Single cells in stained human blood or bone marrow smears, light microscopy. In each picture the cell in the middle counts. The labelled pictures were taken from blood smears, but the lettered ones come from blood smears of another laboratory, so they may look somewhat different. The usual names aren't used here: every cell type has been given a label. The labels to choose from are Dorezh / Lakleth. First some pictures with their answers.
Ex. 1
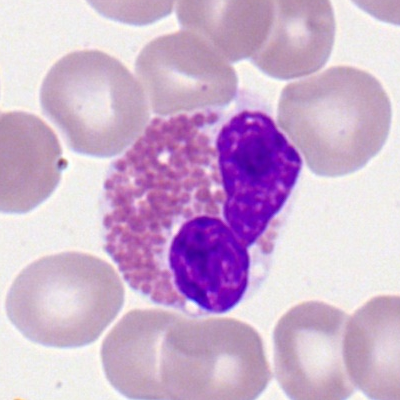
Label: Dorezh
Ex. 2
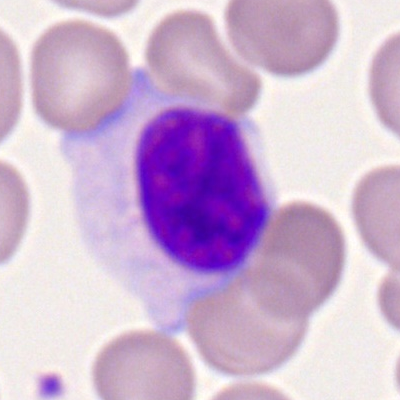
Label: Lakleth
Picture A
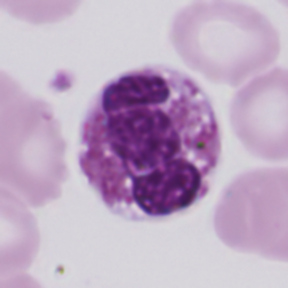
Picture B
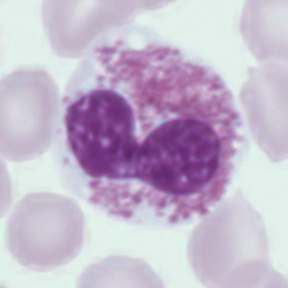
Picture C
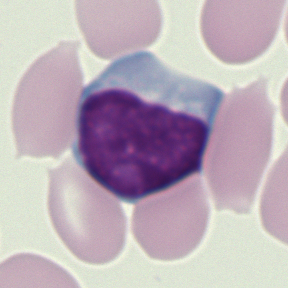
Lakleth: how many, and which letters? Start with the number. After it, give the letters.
1, namely C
